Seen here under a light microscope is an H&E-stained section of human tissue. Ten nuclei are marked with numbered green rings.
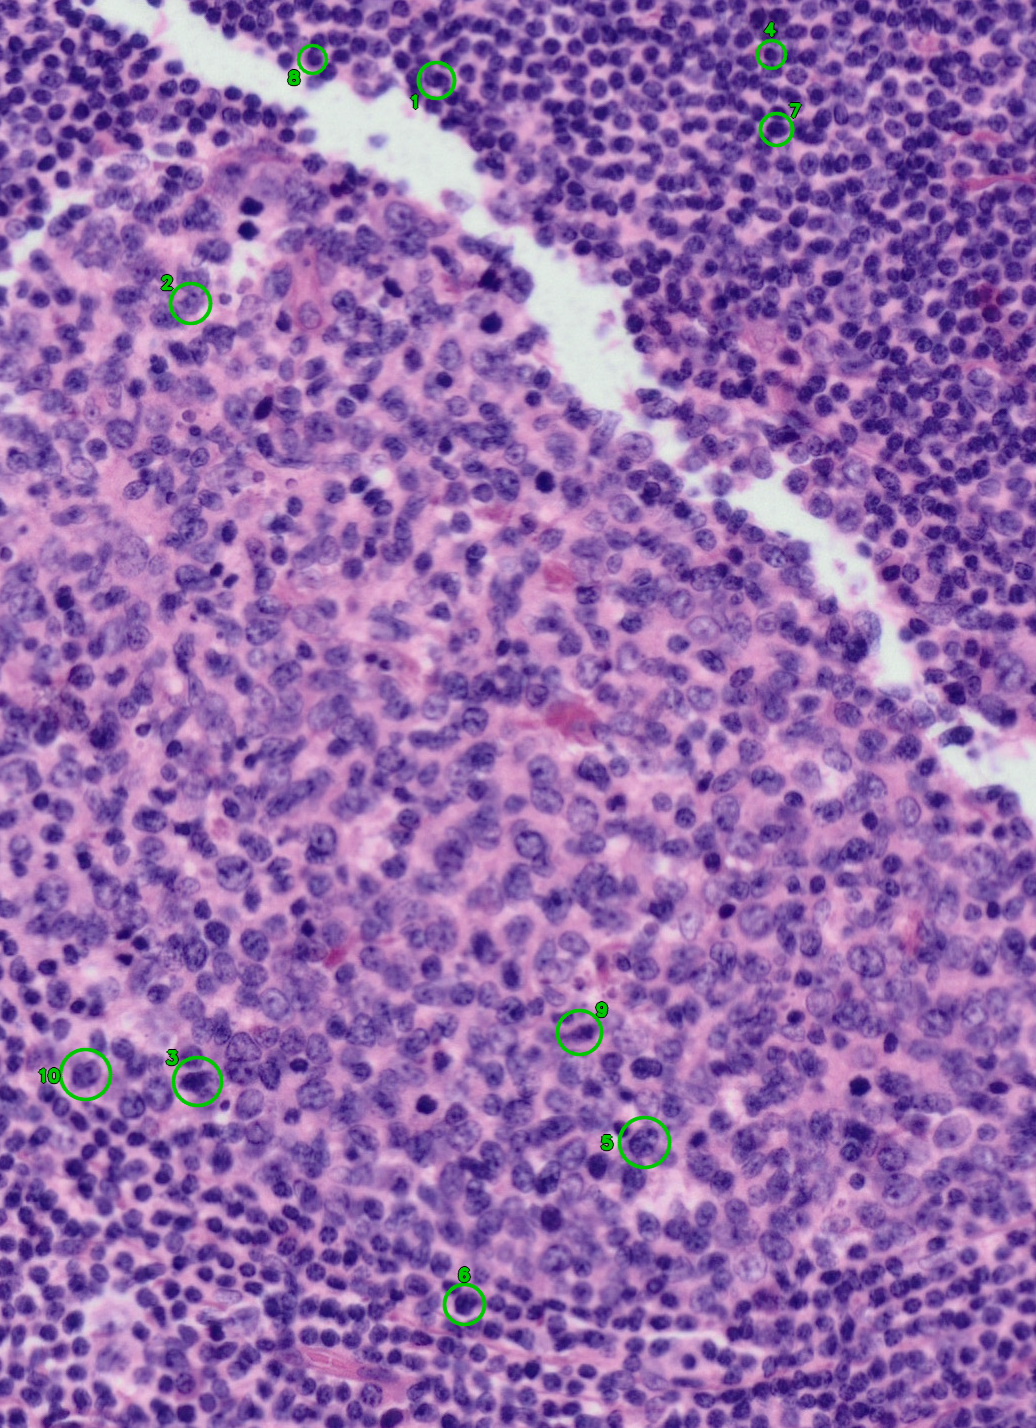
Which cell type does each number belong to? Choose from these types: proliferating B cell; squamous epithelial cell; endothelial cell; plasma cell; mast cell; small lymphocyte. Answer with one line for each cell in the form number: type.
1: small lymphocyte
2: proliferating B cell
3: proliferating B cell
4: small lymphocyte
5: proliferating B cell
6: proliferating B cell
7: small lymphocyte
8: small lymphocyte
9: proliferating B cell
10: proliferating B cell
